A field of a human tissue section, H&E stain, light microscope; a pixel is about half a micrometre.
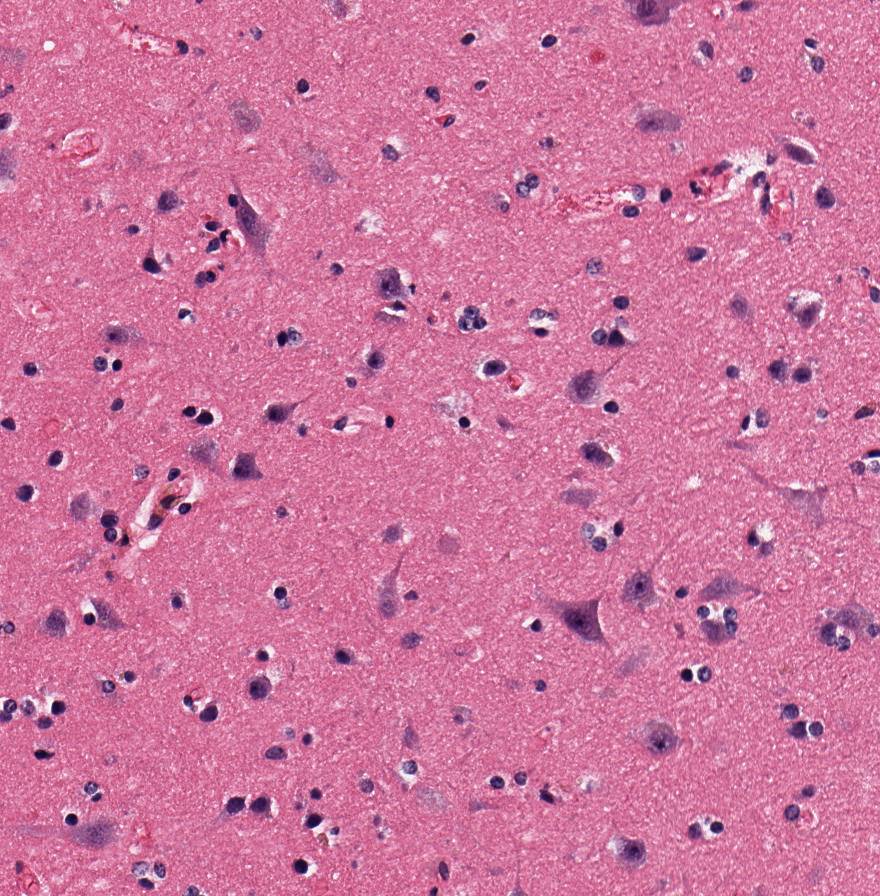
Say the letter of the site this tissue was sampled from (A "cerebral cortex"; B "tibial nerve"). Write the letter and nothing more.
A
